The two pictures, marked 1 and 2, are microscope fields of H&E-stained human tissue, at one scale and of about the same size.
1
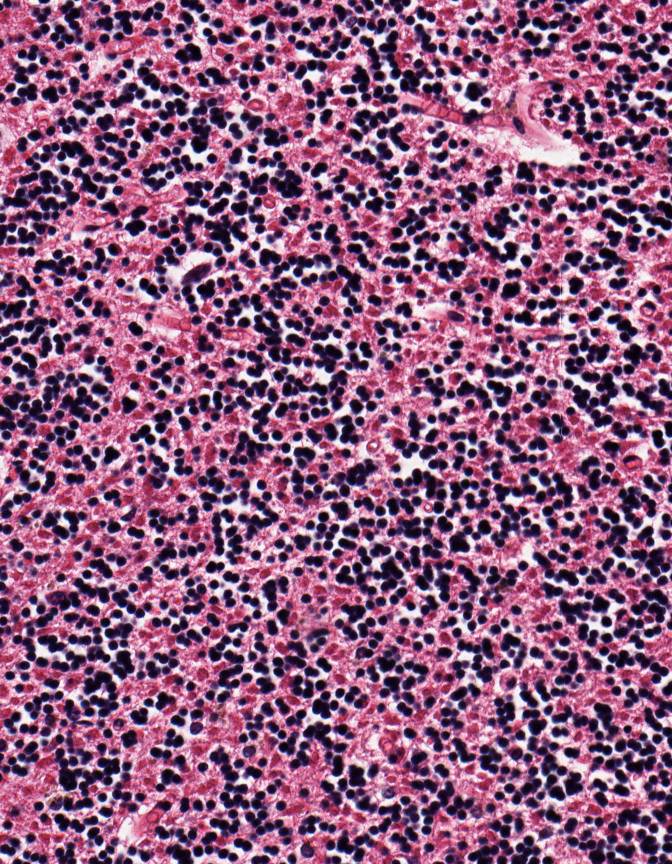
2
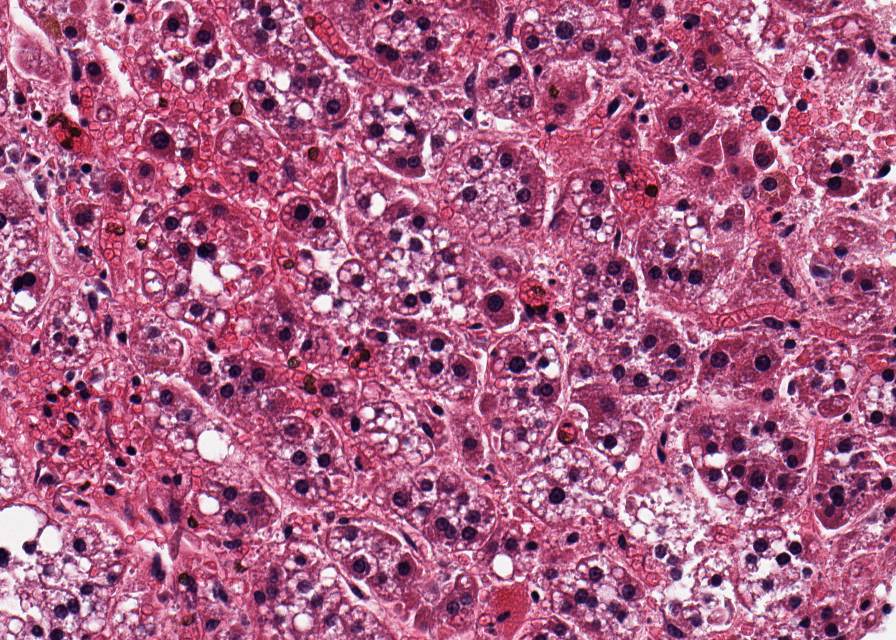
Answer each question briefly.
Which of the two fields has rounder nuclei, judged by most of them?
2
